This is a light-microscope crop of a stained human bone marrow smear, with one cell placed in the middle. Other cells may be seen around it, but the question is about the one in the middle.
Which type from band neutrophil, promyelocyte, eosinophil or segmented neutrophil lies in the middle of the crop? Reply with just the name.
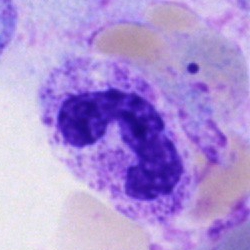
segmented neutrophil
